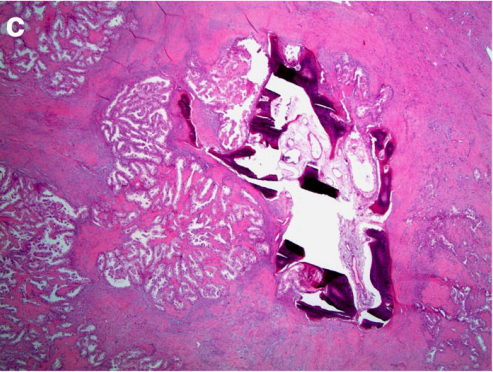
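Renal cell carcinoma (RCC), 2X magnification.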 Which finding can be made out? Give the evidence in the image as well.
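A central focus of dark purple, fractured hard tissue sits within pink stroma. Branching papillary tumor structures lie around the stroma.
Hence: osseous metaplasia.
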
